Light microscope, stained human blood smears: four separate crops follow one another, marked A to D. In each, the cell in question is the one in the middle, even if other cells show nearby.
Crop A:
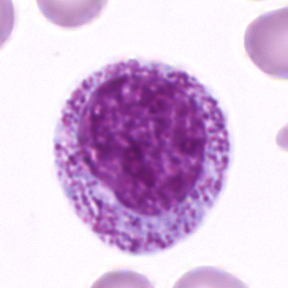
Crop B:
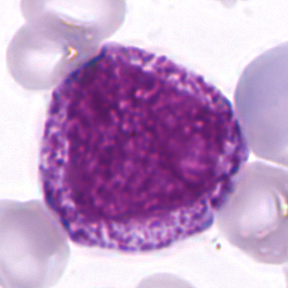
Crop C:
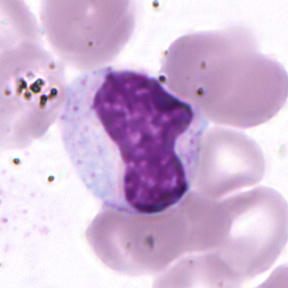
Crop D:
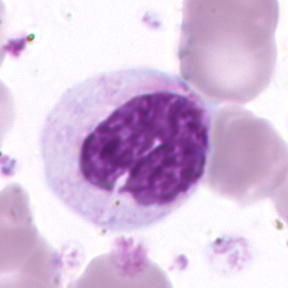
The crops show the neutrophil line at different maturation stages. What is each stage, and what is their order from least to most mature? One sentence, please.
The right order here, from least to most mature, is crop B (a promyelocyte), crop A (a myelocyte), crop C (a metamyelocyte) and crop D (a band neutrophil).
